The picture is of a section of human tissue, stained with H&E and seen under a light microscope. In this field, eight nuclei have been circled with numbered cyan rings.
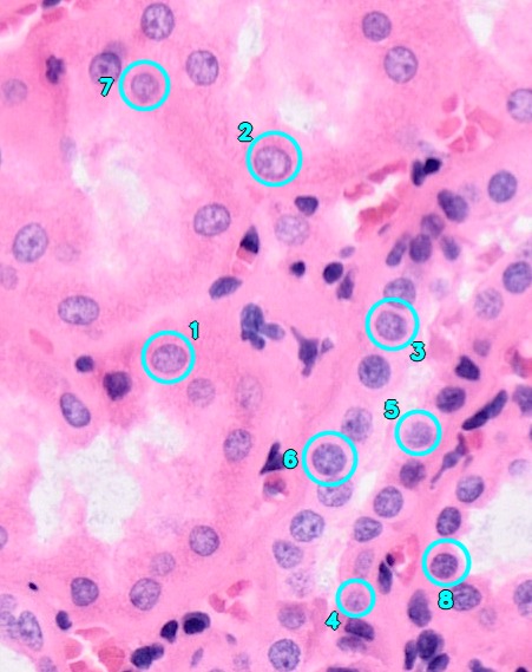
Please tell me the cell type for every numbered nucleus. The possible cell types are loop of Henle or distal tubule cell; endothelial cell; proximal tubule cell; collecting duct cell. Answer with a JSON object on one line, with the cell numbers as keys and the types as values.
{"1": "proximal tubule cell", "2": "proximal tubule cell", "3": "collecting duct cell", "4": "collecting duct cell", "5": "collecting duct cell", "6": "collecting duct cell", "7": "proximal tubule cell", "8": "loop of Henle or distal tubule cell"}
